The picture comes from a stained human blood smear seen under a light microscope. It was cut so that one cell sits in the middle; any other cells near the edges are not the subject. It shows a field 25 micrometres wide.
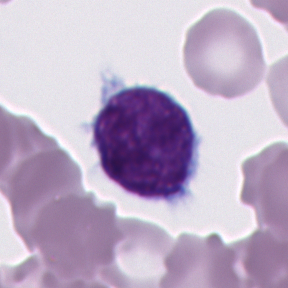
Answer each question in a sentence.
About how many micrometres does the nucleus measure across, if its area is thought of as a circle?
It measures about 9 micrometres across.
